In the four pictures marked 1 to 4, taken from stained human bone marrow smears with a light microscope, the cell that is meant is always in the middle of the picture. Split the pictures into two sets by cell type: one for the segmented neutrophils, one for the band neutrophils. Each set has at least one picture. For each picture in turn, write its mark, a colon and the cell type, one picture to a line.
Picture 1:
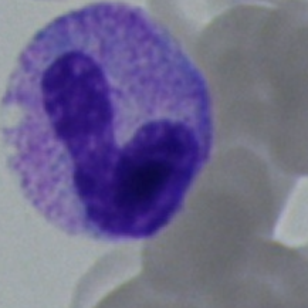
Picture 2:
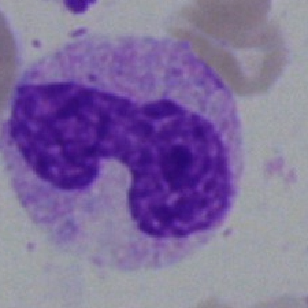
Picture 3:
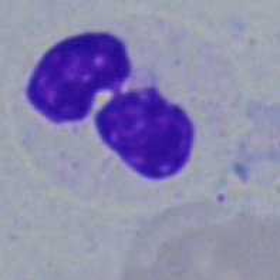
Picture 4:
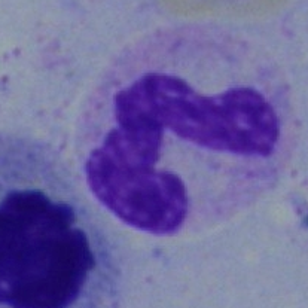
1: band neutrophil
2: band neutrophil
3: segmented neutrophil
4: segmented neutrophil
